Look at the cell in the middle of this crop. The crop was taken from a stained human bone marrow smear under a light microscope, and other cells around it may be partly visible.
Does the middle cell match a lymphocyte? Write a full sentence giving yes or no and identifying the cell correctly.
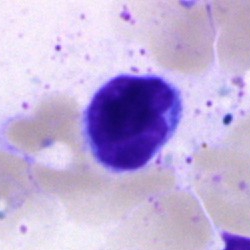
Yes, the cell that occupies the centre is a lymphocyte.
